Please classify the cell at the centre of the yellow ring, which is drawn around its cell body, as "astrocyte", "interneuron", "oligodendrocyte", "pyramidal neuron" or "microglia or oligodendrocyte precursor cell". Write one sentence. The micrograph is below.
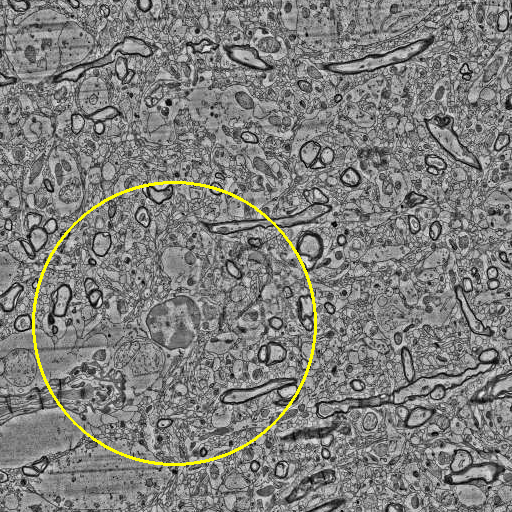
The cell at the ring's centre is classified as a microglial cell or oligodendrocyte precursor cell.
